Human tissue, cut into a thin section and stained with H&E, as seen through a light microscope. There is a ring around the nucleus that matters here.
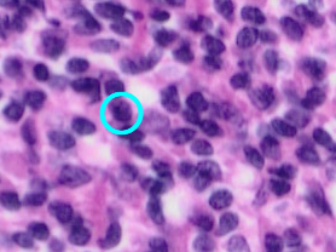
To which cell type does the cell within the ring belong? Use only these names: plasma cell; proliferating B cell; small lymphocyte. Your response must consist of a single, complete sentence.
The category to which the cell within the ring belongs is that of a small lymphocyte.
